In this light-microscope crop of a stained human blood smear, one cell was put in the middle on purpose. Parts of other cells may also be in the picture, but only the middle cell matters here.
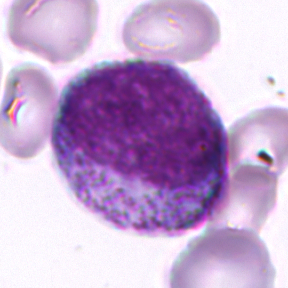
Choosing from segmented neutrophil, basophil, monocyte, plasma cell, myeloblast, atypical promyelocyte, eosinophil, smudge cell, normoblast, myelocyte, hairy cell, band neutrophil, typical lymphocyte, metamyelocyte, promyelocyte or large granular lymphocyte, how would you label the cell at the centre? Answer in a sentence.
For this crop, the central cell is a promyelocyte.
